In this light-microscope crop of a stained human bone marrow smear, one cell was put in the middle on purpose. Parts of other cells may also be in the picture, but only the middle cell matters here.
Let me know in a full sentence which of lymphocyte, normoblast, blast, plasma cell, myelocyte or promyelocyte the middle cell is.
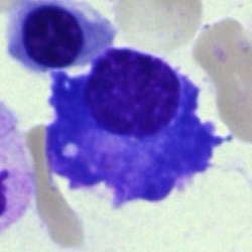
The middle cell in this particular crop is a plasma cell.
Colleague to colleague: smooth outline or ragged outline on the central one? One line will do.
Its surface contour departs from smoothness through ragged edges or outward projections.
